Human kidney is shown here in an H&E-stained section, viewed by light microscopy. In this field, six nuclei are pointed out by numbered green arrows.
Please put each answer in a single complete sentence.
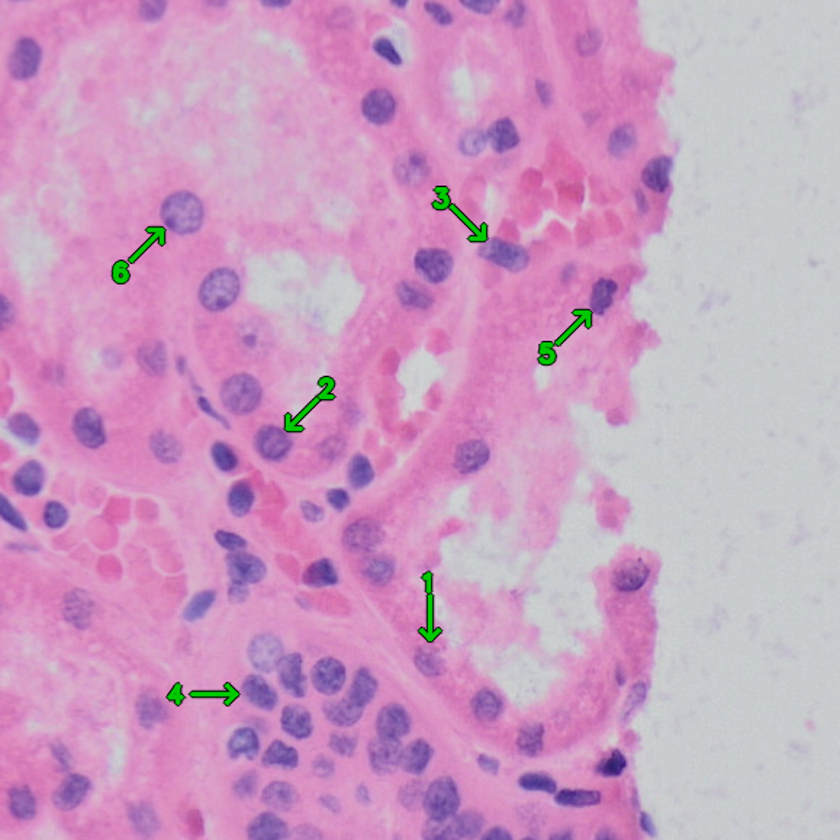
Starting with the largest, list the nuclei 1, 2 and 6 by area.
By area, largest first, they run 6, 2, 1.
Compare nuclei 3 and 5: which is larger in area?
At about 1.5 times the area of nucleus 5, nucleus 3 is the larger of the two.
